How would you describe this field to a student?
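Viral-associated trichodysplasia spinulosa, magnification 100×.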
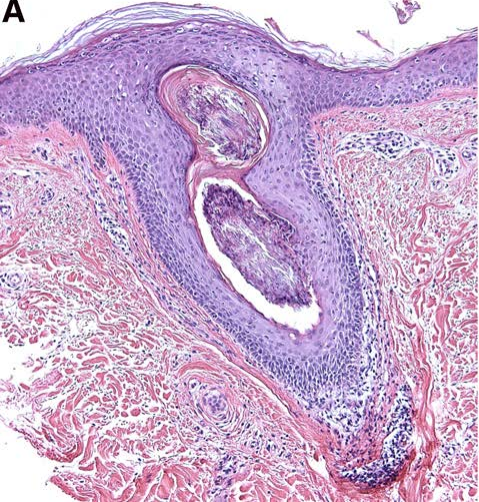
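Skin with a widened hair follicle opening that extends from the surface epidermis down into the dermis. The follicular lumen is plugged by purple-blue material, lined by a thick stratified squamous epithelium with pink keratin at the surface. Around the lower part of the follicle and in the surrounding dermis lie small dark clusters of inflammatory cells among pink collagen bundles.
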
